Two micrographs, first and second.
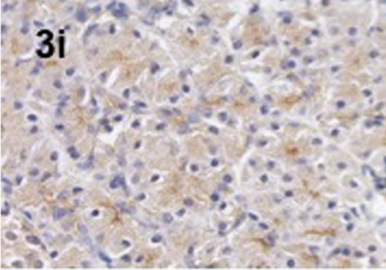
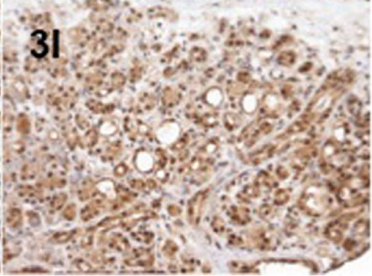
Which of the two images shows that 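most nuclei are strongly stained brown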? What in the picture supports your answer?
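The second image. Second image: nearly all nuclei are dark brown. First image: nuclei are mostly blue, with only faint brown in the cytoplasm.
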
